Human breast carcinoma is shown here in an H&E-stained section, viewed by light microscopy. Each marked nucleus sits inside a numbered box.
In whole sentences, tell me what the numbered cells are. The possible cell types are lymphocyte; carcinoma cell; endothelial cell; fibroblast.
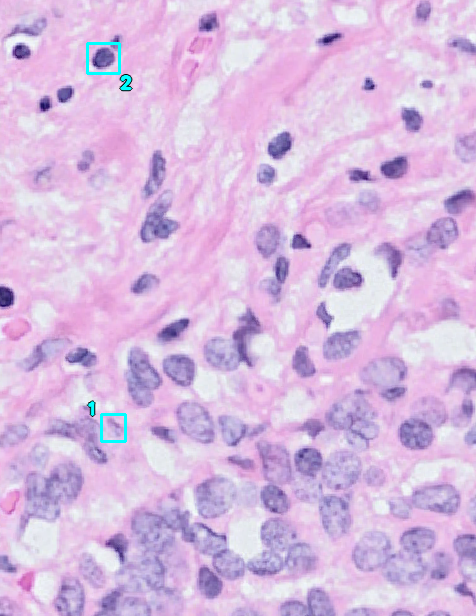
Cell 1 is an endothelial cell. Cell 2 is a lymphocyte.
